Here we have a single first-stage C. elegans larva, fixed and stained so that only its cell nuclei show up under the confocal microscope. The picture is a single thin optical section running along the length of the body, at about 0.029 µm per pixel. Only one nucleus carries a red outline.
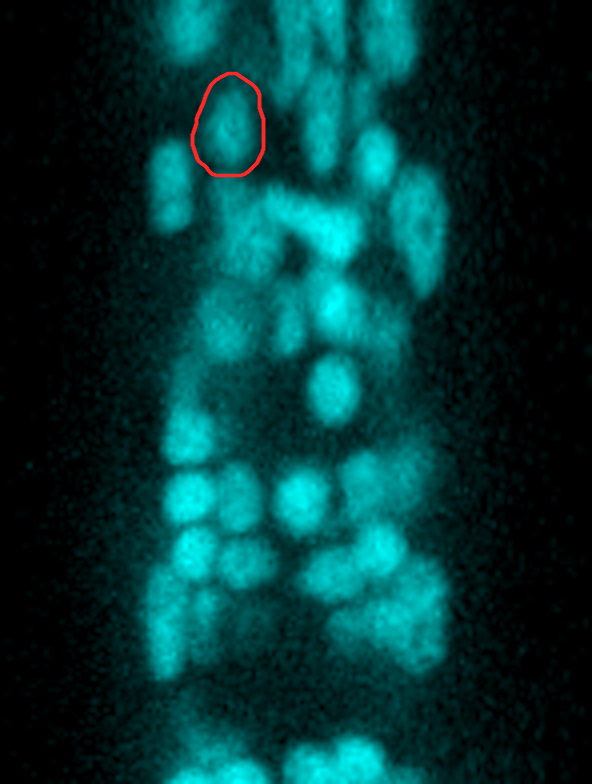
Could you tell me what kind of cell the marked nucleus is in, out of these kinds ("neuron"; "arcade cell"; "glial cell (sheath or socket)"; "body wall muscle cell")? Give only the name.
arcade cell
